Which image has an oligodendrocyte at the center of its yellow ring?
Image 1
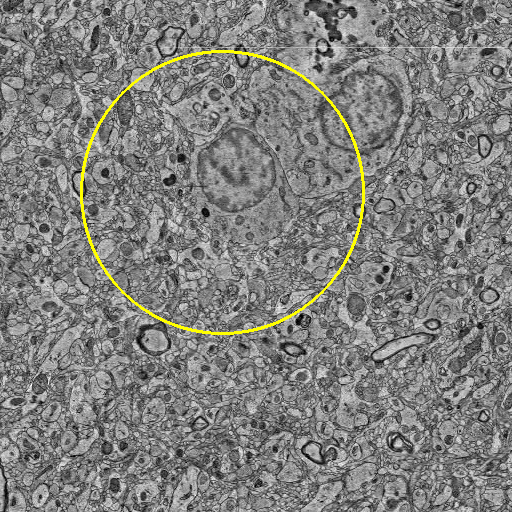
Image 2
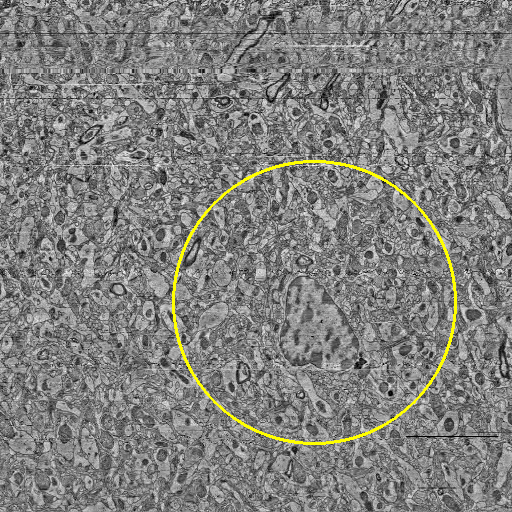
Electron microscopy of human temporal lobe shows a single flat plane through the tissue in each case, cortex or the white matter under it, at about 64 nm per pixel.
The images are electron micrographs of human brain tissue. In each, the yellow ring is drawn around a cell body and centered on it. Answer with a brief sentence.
It is at the center of the ring in Image 1.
